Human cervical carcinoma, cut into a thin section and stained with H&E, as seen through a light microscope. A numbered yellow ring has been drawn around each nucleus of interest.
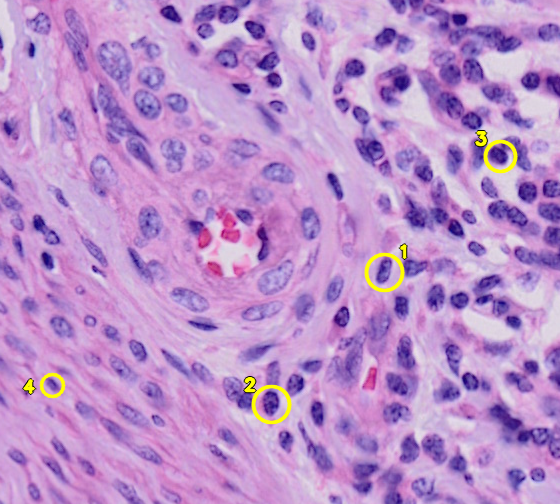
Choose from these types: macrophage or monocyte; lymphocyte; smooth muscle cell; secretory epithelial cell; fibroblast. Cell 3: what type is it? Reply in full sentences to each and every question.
Cell 3 should be recorded as a lymphocyte.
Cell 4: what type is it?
The cell identified by number 4 is a smooth muscle cell.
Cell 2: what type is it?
The marked cell bearing number 2 is a lymphocyte.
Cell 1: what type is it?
The cell indicated with the number 1 is classed as a lymphocyte.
